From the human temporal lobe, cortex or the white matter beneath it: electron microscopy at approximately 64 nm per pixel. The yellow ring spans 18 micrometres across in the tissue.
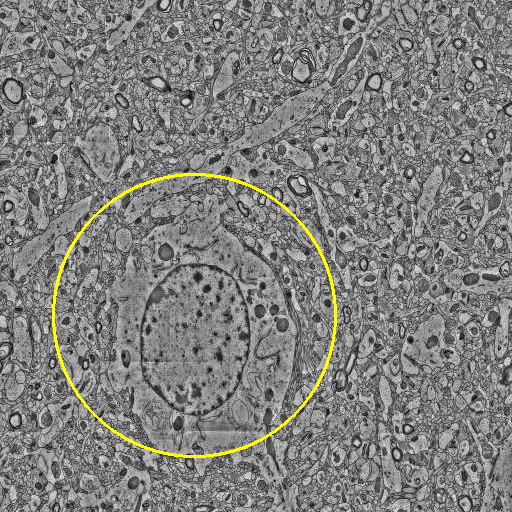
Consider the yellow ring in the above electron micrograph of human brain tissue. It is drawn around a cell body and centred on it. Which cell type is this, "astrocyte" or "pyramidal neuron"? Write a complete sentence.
The cell in question is an astrocyte.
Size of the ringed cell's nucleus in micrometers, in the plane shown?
Roughly 10 by 8 micrometres in this plane, for the nucleus of the ringed cell.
